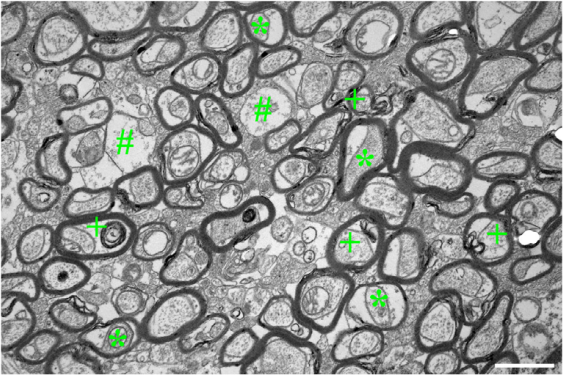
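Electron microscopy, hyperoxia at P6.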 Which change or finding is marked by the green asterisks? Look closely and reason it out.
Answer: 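In the marked fibres, a pale gap separates the axon from the inner edge of its dark ring. The axon sits shrunken inside the dark ring.
Increased adaxonal space.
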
